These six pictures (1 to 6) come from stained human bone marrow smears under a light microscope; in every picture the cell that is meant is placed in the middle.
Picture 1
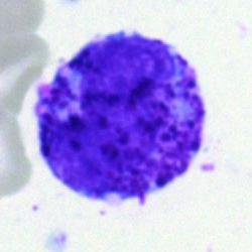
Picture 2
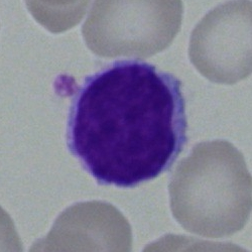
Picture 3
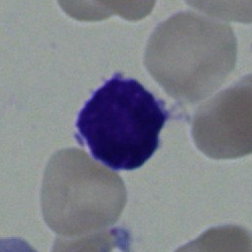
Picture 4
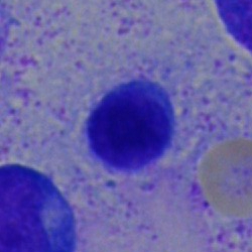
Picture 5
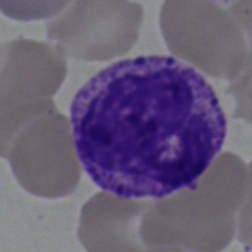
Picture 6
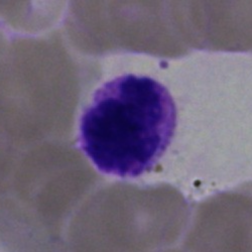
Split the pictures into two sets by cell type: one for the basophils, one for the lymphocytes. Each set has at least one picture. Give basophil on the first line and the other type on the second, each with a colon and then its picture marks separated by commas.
basophil: 1, 5, 6
lymphocyte: 2, 3, 4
